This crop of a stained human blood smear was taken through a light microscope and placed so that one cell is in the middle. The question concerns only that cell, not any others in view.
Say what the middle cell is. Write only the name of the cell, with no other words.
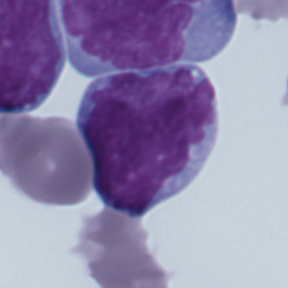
myeloblast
